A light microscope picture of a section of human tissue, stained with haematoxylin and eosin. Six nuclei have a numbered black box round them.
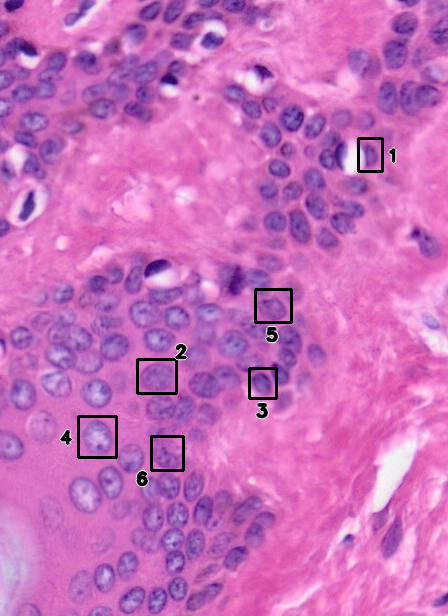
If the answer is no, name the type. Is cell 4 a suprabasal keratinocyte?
Yes.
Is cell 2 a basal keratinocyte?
No, it is a suprabasal keratinocyte.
